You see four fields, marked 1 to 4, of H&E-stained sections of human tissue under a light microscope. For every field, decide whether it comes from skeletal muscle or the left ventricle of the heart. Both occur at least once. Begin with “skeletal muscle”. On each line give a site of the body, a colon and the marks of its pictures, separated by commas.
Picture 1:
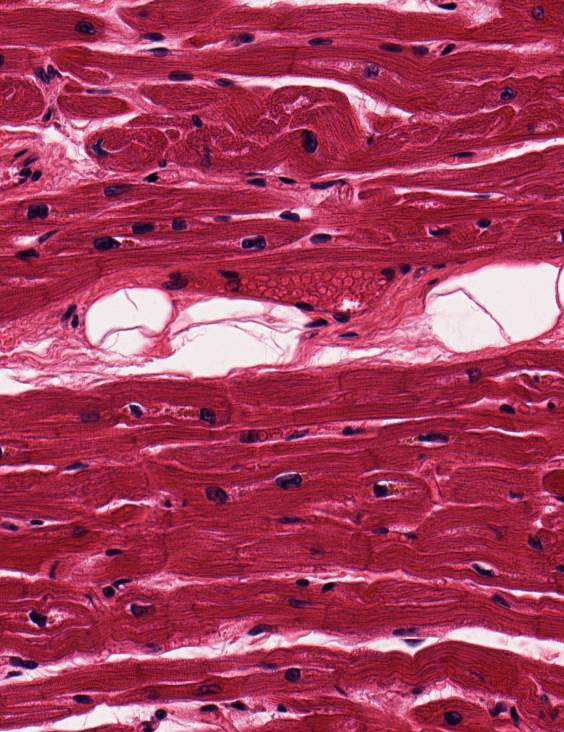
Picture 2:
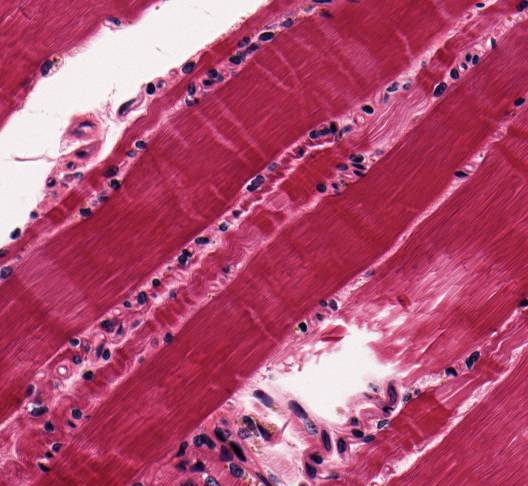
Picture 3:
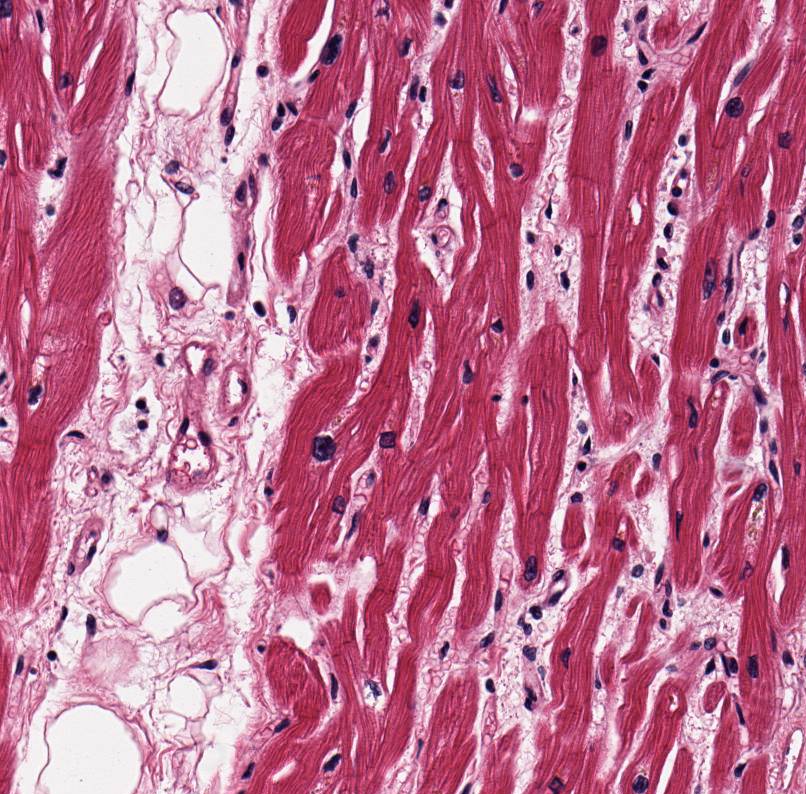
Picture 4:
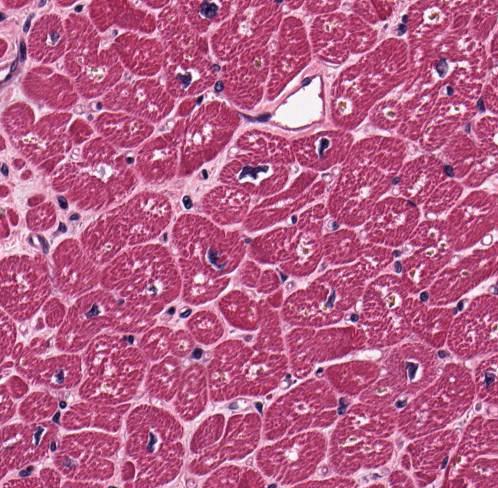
skeletal muscle: 2
left ventricle of the heart: 1, 3, 4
